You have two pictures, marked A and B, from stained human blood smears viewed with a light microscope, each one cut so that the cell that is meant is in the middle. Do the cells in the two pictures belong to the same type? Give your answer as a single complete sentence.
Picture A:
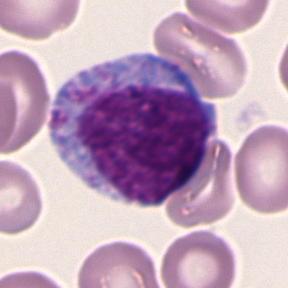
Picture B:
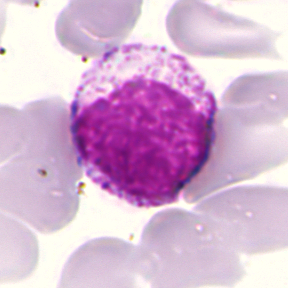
Yes, both cells are myelocytes.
